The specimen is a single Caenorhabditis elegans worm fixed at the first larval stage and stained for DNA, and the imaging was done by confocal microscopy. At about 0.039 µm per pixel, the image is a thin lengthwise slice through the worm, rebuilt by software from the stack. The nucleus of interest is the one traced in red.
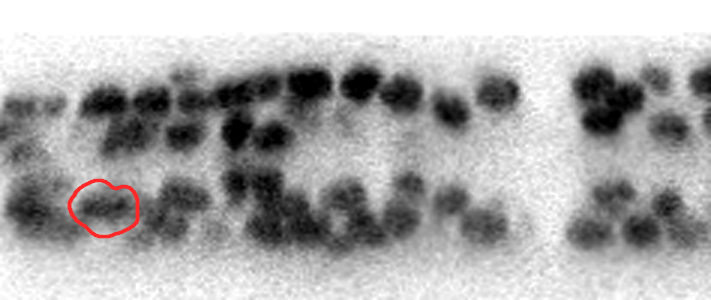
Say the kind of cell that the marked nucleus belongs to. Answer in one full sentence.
The cell with the marked nucleus is a pharyngeal epithelial cell.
